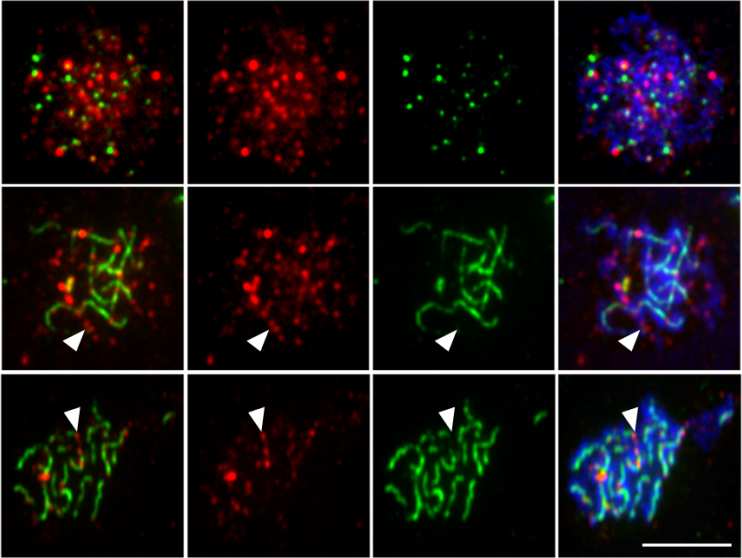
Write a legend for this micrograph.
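In the top row the green label is only scattered small dots, and many red dots of varying size fill the nucleus. In the middle row some green has joined into long threads winding through the nucleus, while red dots remain. In the bottom row green threads run along most of the chromatin, and the red dots are fewer.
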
